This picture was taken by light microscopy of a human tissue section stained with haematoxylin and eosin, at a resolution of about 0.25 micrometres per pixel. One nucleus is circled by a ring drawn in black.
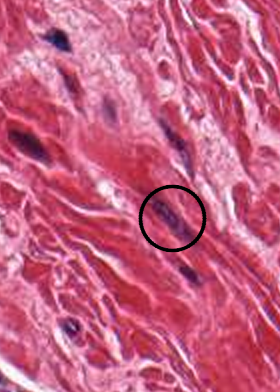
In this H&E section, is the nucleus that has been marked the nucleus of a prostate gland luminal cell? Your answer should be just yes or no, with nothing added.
no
